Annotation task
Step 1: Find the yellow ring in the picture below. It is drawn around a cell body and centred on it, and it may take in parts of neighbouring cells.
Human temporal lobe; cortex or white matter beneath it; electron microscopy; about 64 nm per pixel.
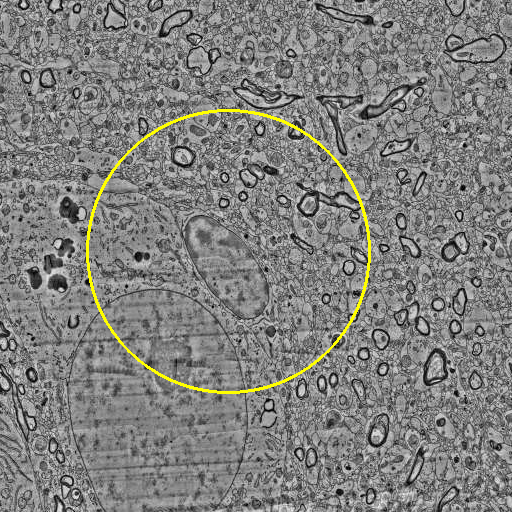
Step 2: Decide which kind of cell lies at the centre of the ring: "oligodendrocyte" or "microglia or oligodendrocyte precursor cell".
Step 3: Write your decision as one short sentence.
The kind of cell at the ring's centre is a microglial cell or oligodendrocyte precursor cell.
